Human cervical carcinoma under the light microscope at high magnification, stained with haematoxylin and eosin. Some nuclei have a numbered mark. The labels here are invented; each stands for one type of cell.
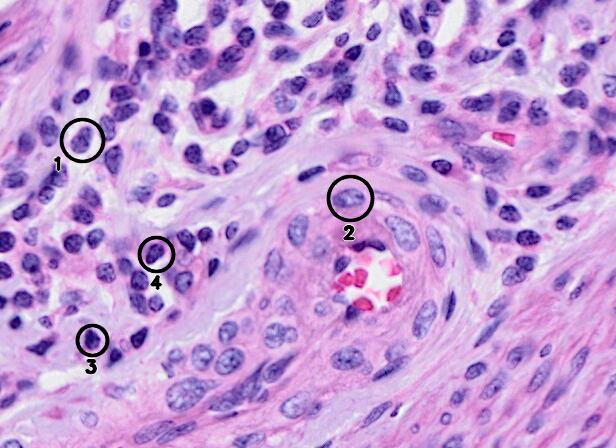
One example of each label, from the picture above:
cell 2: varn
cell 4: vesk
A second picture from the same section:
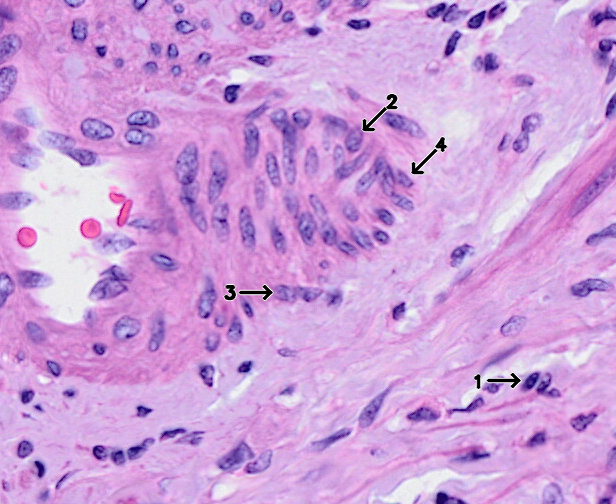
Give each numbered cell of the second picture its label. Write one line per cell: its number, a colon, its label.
1: vesk
2: varn
3: varn
4: varn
